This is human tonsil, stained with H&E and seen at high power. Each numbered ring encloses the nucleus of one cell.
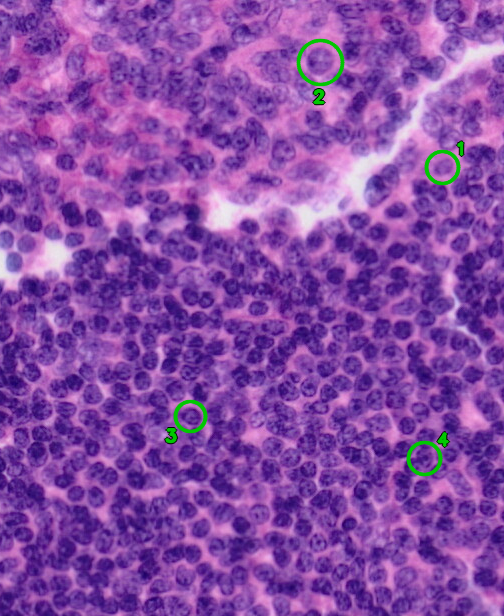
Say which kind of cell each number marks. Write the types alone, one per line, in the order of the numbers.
proliferating B cell
proliferating B cell
small lymphocyte
small lymphocyte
